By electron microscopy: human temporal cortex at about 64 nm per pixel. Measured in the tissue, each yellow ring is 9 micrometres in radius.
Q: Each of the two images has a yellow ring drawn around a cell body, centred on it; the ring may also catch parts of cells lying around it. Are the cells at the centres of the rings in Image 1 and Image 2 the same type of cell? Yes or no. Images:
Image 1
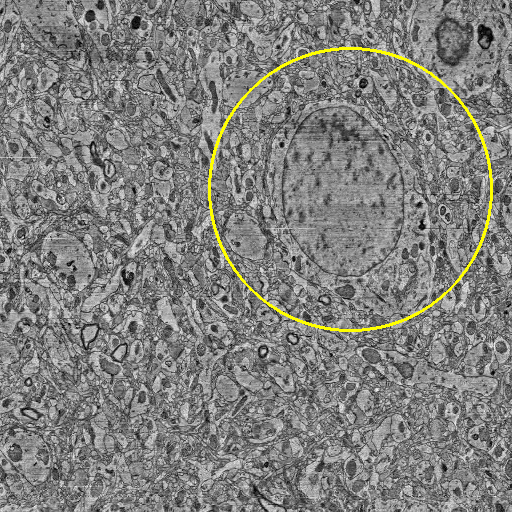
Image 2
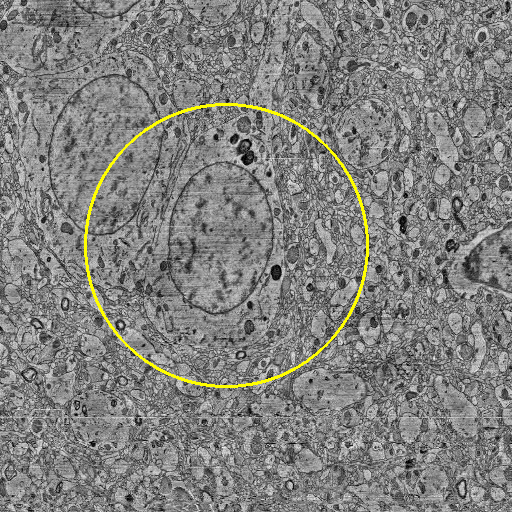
yes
